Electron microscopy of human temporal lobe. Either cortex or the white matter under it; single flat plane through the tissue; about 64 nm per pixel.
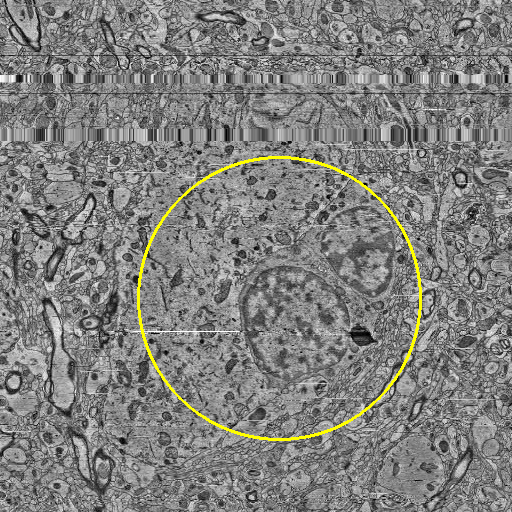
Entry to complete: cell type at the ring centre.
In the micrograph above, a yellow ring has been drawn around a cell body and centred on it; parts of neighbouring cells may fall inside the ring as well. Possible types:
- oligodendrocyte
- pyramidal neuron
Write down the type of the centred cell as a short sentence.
The ring is centred on an oligodendrocyte.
